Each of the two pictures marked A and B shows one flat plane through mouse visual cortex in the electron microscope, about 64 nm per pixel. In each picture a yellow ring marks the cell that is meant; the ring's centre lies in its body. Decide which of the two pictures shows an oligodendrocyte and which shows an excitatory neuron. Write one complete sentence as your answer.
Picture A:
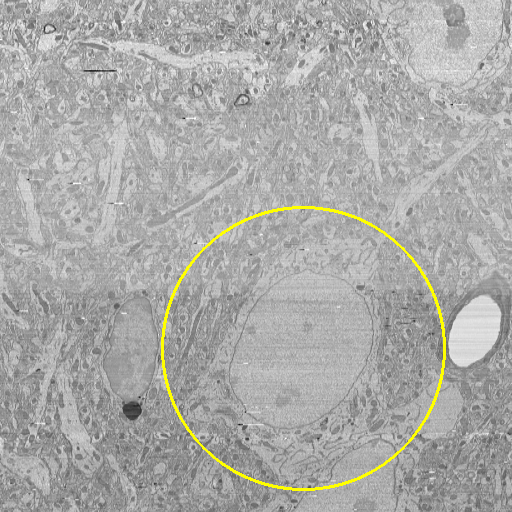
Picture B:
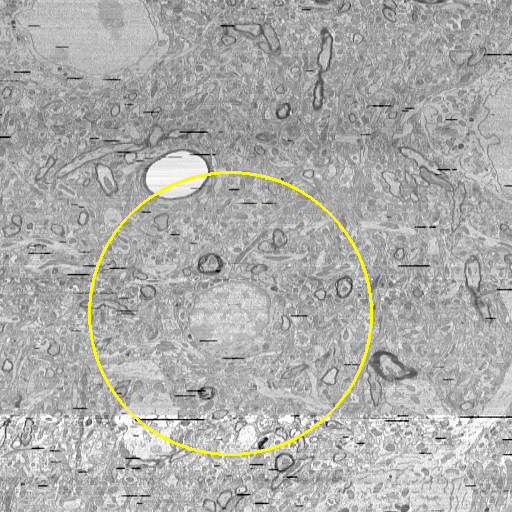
Picture A shows an excitatory neuron and picture B shows an oligodendrocyte.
